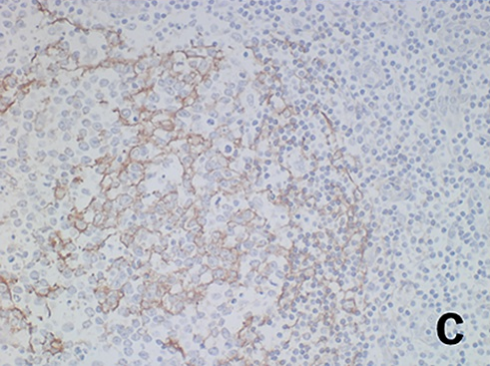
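Within a lymphoid nodule, the brown stain outlines a fine, lace-like meshwork of branching processes belonging to follicular dendritic cells. The meshwork is densest in the left and central part of the field and thins out toward the right. Between its strands lie many unstained lymphoid cells with round, blue-counterstained nuclei.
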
